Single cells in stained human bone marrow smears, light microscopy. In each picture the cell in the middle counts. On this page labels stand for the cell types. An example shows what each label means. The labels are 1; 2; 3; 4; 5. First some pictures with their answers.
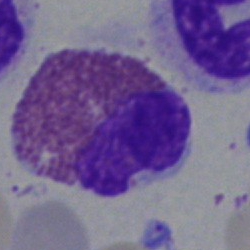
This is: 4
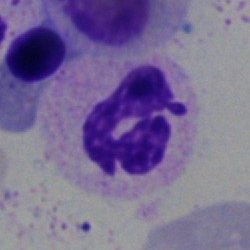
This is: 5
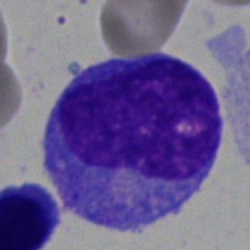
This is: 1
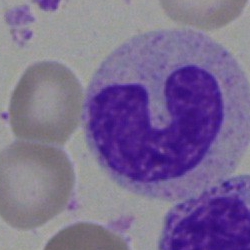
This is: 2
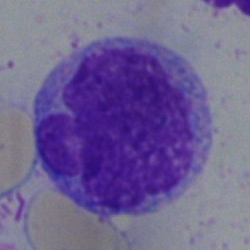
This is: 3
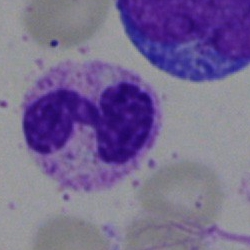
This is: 5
